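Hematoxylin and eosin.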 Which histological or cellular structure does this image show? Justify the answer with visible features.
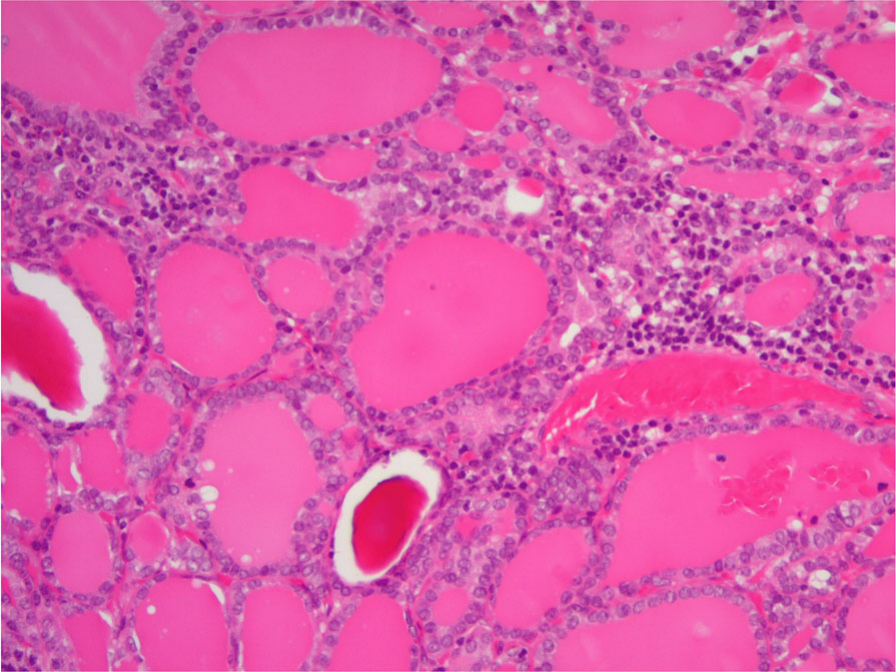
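Small or dilated follicles. Round spaces filled with homogeneous pink material, each lined by a single layer of epithelial cells. The spaces vary widely in size, from small to large distended ones.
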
